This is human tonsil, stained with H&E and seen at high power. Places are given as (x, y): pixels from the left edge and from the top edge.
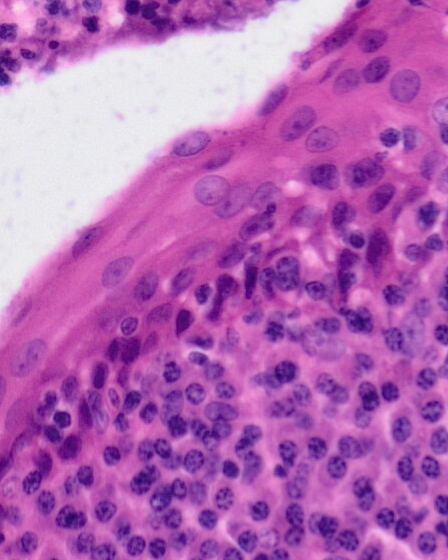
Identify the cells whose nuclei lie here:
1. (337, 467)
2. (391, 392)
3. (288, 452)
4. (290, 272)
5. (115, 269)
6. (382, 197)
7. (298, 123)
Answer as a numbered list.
1. plasma cell
2. plasma cell
3. plasma cell
4. squamous epithelial cell
5. squamous epithelial cell
6. squamous epithelial cell
7. squamous epithelial cell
